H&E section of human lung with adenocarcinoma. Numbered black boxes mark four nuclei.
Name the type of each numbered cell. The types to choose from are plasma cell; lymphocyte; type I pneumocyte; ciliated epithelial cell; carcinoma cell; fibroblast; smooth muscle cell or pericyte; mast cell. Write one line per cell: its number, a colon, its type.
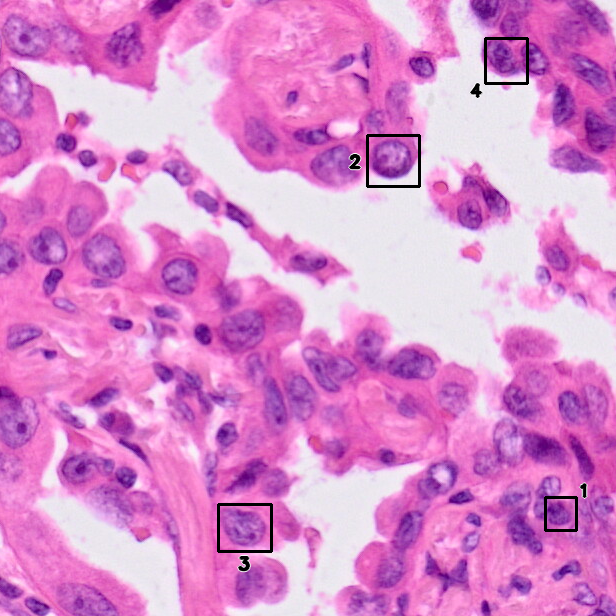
1: plasma cell
2: carcinoma cell
3: carcinoma cell
4: carcinoma cell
